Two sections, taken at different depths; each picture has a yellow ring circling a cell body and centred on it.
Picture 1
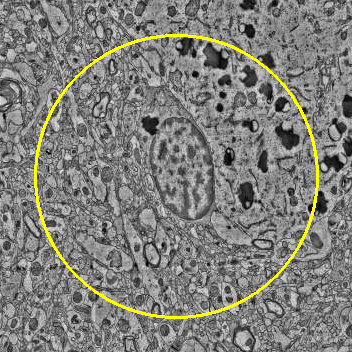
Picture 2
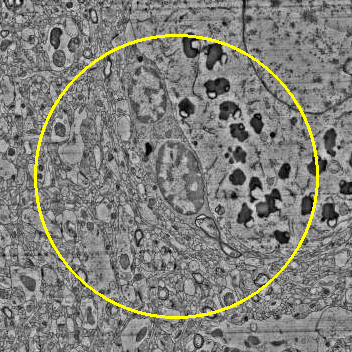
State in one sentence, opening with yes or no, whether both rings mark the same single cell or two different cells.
Yes, the two rings belong to one cell, not to two.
